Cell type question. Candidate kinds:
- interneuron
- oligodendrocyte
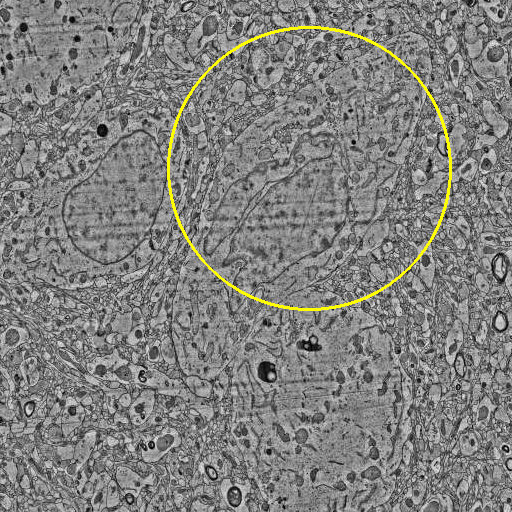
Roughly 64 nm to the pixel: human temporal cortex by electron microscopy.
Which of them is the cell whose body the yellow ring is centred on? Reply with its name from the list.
interneuron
